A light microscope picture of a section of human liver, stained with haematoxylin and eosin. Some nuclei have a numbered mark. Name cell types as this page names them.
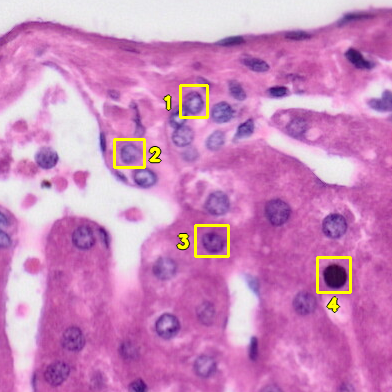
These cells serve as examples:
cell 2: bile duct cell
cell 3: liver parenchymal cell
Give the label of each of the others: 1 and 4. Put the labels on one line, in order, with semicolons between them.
bile duct cell; liver parenchymal cell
